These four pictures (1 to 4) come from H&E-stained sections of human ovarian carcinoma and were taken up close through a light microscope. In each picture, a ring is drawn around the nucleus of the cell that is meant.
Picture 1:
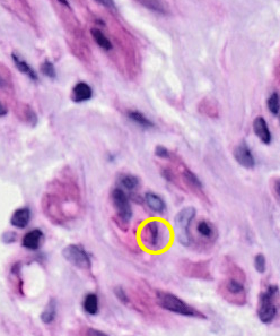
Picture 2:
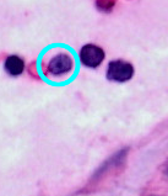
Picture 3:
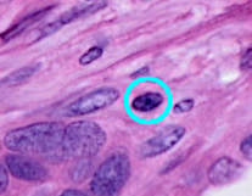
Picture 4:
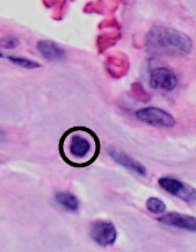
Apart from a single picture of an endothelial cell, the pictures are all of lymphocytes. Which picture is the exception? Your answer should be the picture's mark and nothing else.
1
